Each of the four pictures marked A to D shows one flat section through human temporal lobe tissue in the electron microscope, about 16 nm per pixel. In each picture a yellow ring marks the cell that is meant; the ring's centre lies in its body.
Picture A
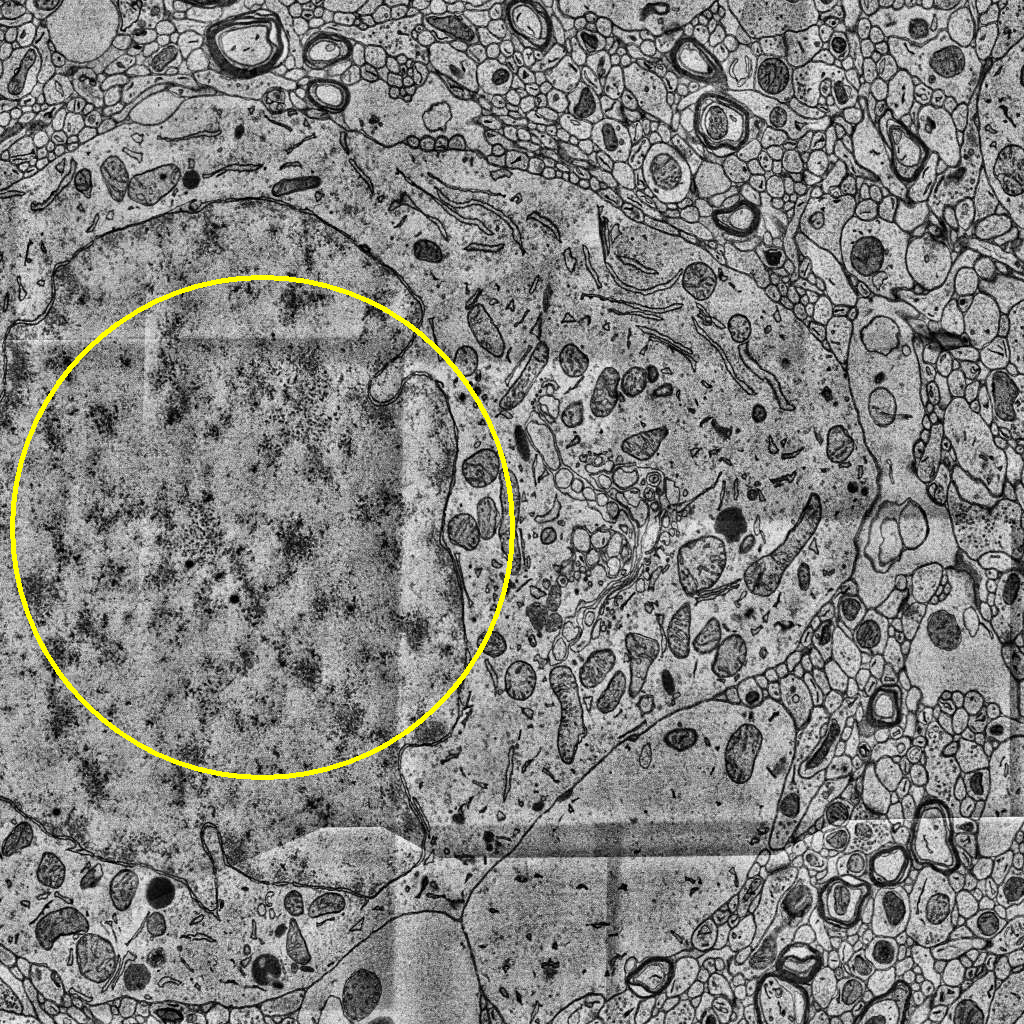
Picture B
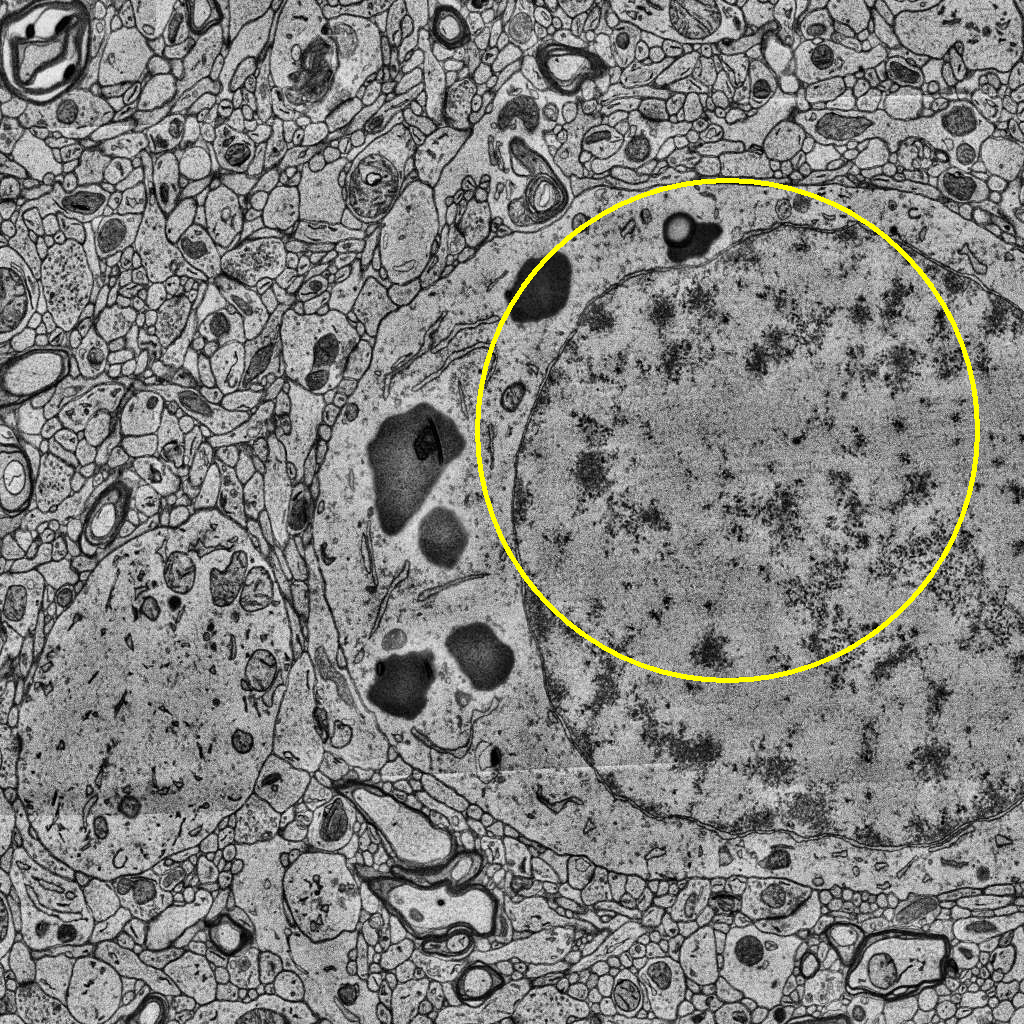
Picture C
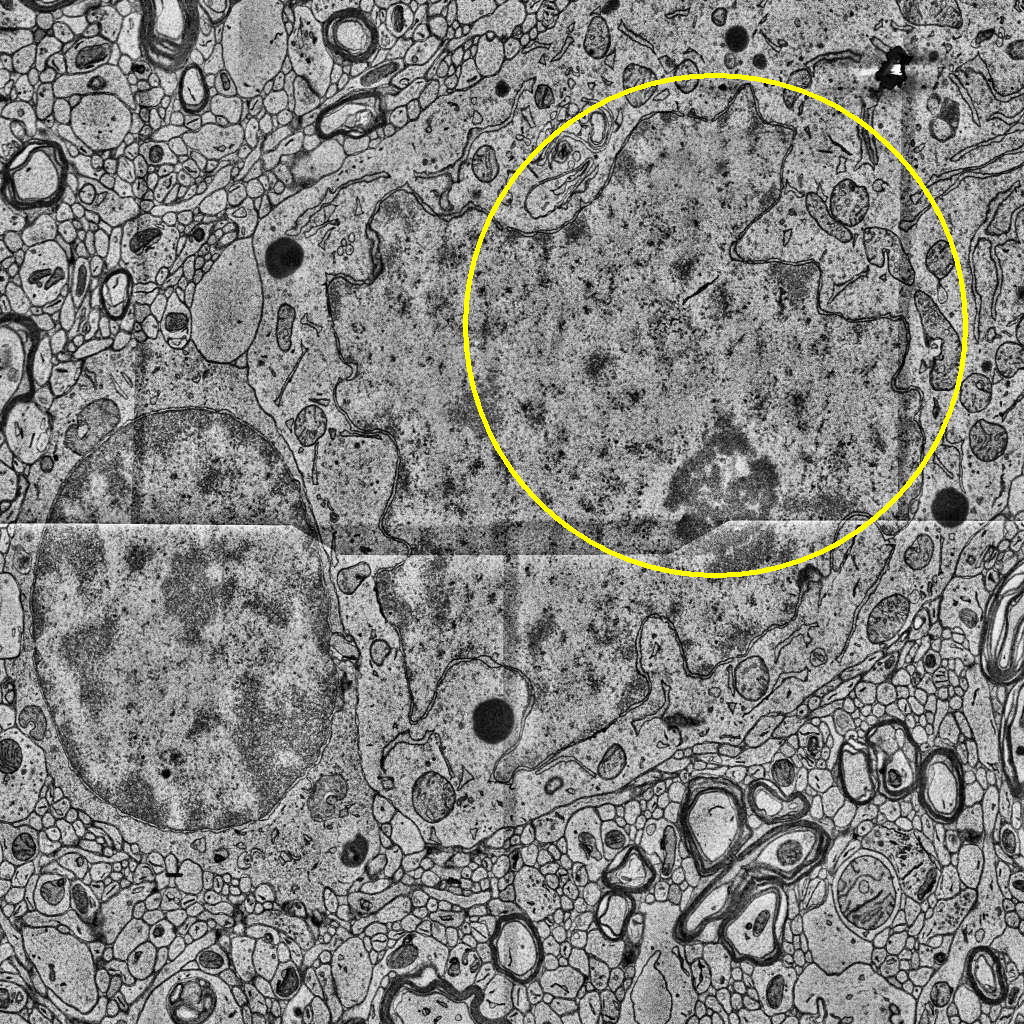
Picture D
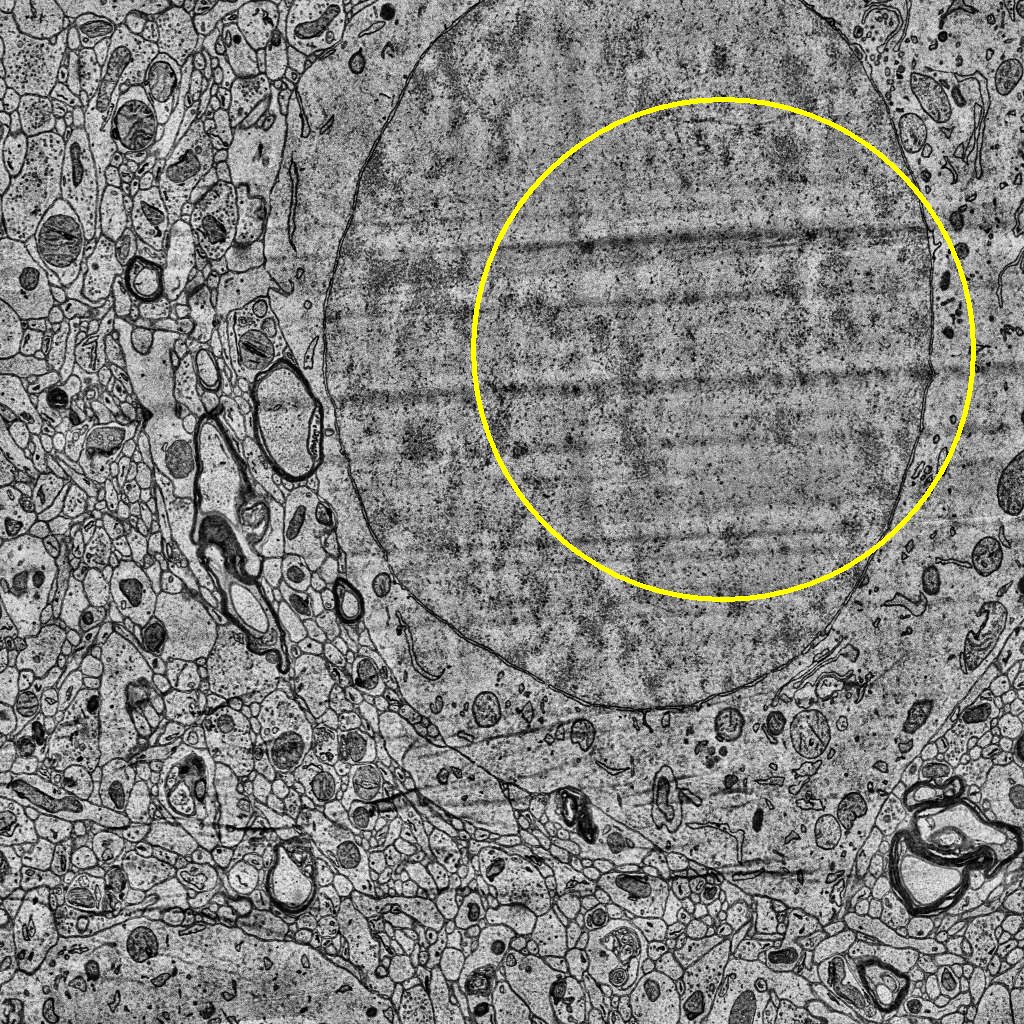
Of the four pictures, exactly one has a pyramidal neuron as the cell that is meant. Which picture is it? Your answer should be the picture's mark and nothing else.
D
